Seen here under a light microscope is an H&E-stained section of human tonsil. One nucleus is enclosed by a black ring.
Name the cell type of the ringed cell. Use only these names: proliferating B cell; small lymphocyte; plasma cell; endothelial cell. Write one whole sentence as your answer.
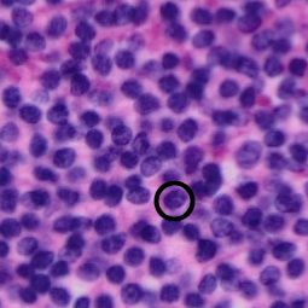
In this preparation, the ringed cell is a small lymphocyte.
